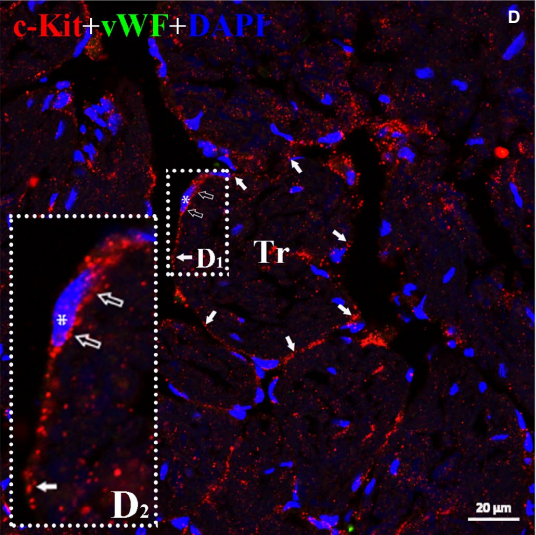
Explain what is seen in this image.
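Nuclei are blue: many are elongated or crescent-shaped and sit at the edges of the bundles. A fine, beaded red line runs along the borders of several rounded bundles, tracing their outlines. In the enlarged inset, one elongated blue nucleus is wrapped by only a thin rim of red, so the cell body around it is very small. From it a long, very thin red process trails away along the edge of the bundle. Green is practically absent throughout.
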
